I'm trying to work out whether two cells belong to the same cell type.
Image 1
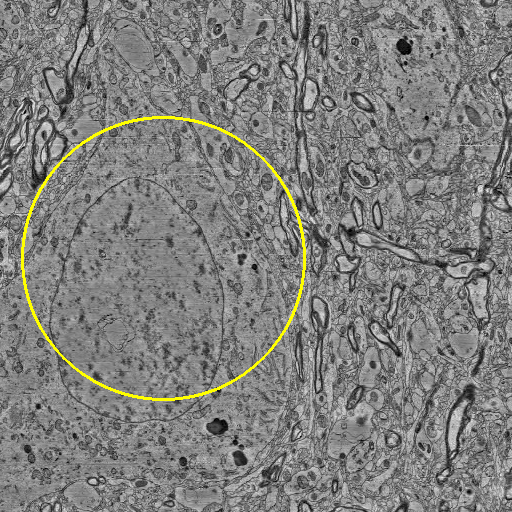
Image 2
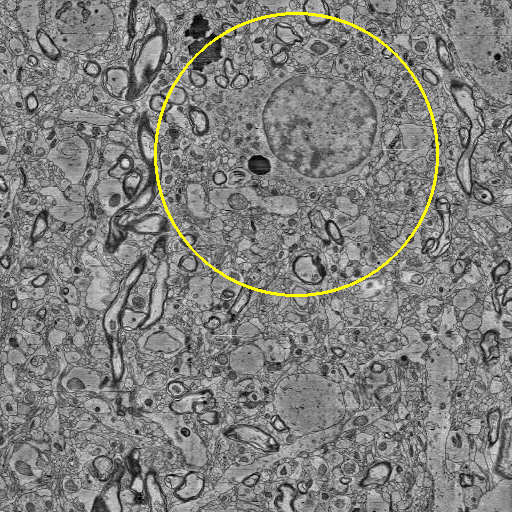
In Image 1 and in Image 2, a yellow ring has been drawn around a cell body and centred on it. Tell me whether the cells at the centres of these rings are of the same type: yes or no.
no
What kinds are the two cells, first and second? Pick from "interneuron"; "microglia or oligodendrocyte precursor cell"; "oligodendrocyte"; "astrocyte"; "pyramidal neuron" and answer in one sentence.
The second picture holds an oligodendrocyte in its ring, and the first holds a pyramidal neuron.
